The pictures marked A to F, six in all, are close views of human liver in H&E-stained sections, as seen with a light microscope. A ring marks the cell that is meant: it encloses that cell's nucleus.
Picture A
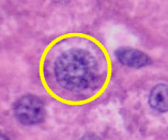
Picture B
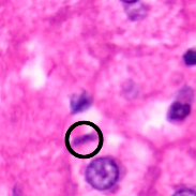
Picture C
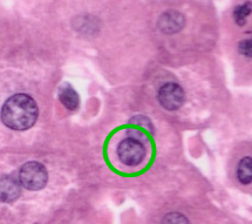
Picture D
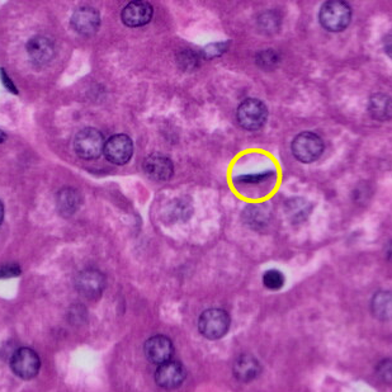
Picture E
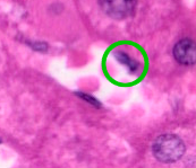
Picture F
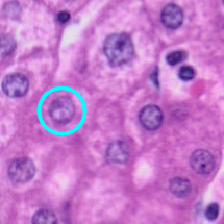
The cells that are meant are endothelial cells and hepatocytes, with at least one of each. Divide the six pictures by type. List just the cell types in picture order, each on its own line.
hepatocyte
endothelial cell
hepatocyte
endothelial cell
endothelial cell
hepatocyte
